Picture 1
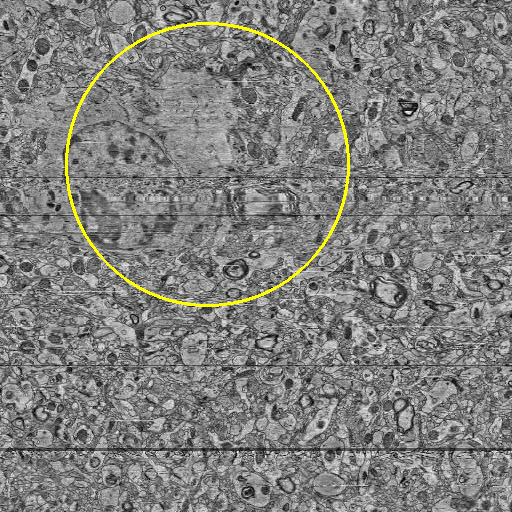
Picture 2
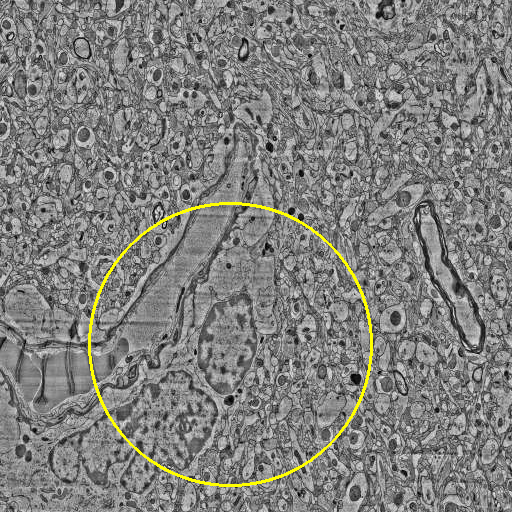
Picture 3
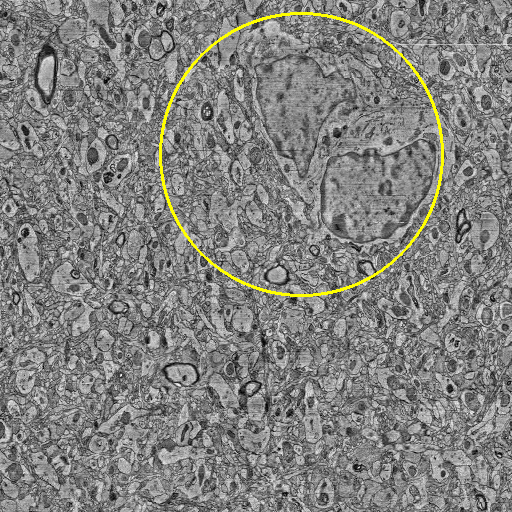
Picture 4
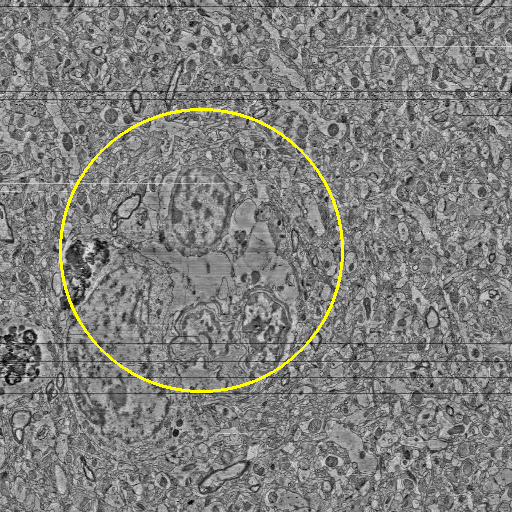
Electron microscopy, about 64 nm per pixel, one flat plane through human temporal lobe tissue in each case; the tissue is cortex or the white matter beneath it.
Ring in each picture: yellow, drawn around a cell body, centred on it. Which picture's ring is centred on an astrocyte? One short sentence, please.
Picture 1 is the one.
